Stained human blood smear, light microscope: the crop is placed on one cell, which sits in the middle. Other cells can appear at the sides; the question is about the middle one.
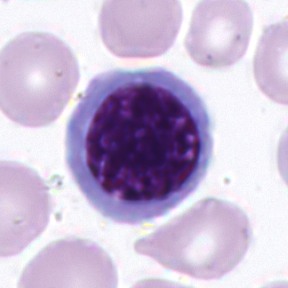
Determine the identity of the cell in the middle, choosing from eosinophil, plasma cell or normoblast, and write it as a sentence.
The centrally placed cell is classified as a normoblast.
